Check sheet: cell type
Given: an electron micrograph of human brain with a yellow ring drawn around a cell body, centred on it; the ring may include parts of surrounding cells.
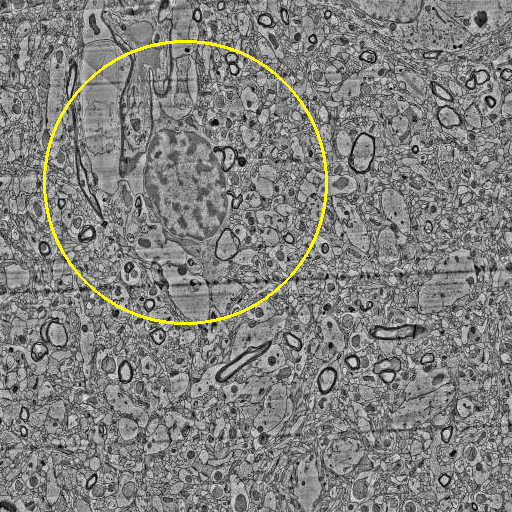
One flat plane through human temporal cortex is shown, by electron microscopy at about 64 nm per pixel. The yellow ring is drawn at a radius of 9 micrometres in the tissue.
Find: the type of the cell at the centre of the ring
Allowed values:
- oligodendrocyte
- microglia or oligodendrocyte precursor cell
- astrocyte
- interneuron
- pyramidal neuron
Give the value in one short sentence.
Here the ringed cell is an oligodendrocyte.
